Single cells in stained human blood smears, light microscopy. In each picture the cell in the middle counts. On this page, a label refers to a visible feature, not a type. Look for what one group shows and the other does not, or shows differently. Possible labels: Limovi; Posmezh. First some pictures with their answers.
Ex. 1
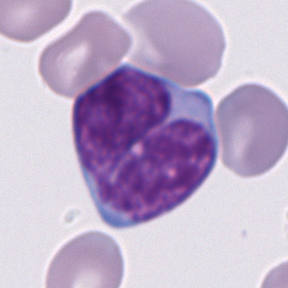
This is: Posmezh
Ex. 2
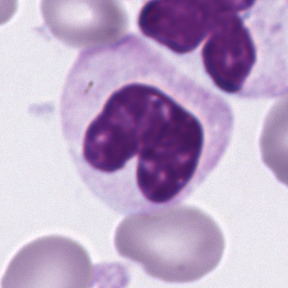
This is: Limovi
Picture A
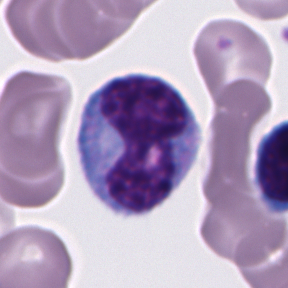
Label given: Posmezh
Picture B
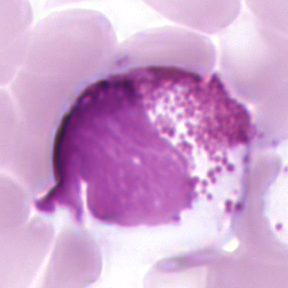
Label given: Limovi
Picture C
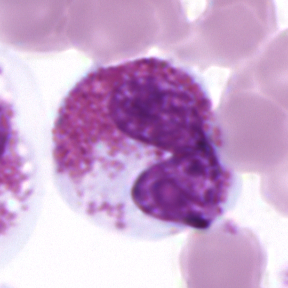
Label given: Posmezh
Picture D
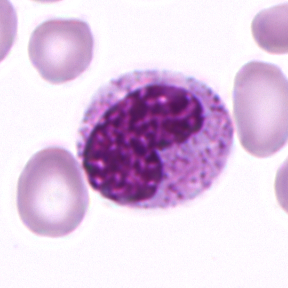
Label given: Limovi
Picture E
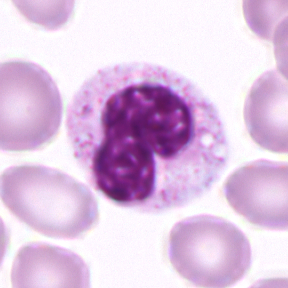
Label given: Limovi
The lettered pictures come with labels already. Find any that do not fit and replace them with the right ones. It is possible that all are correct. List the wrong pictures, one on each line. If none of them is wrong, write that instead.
E: change Limovi to Posmezh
